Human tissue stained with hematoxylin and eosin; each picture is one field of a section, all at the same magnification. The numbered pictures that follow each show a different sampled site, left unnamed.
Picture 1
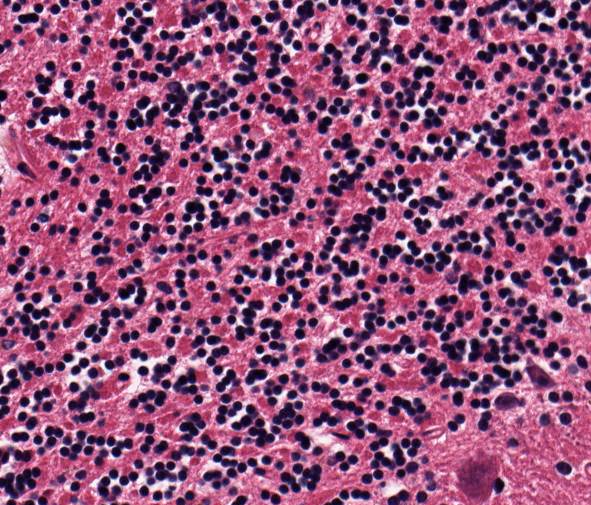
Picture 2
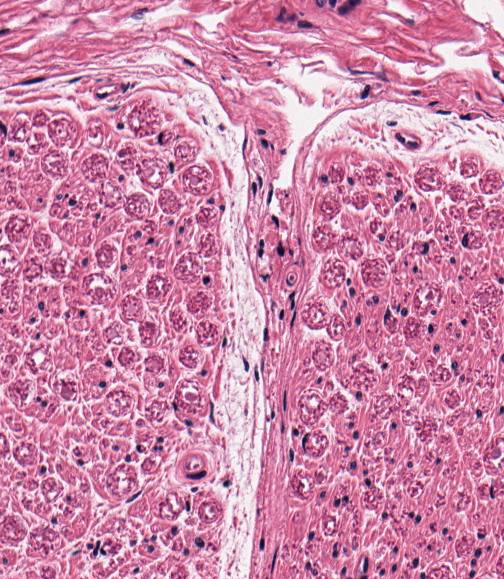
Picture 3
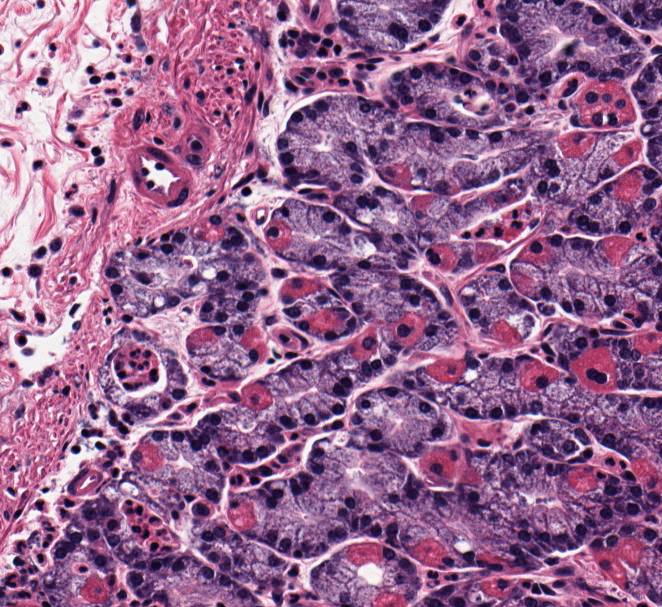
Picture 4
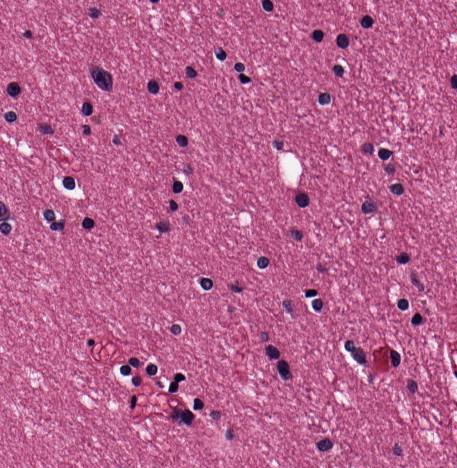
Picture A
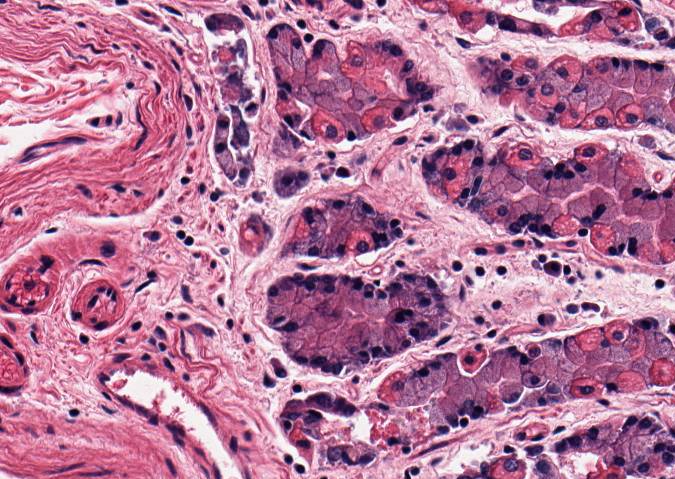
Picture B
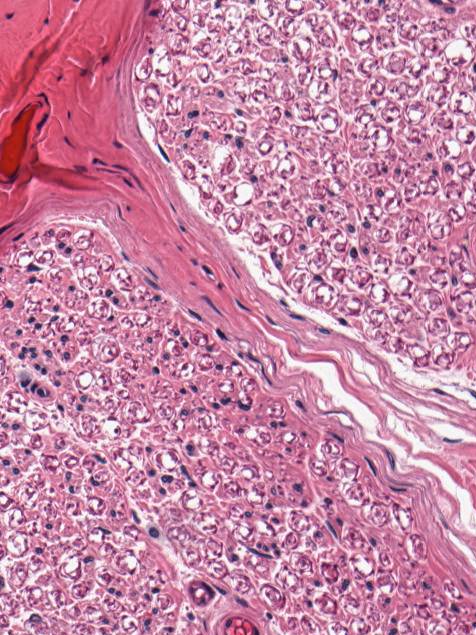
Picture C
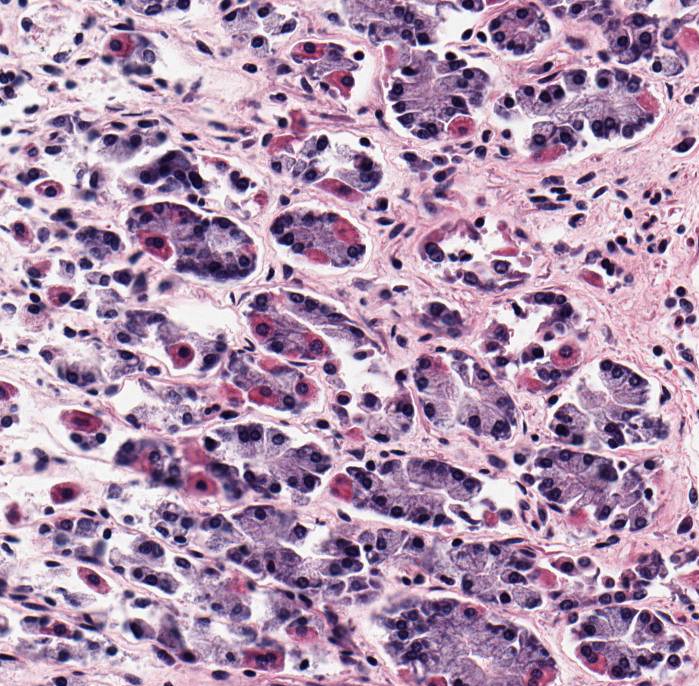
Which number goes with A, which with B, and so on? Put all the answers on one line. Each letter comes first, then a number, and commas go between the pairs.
A 3, B 2, C 3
